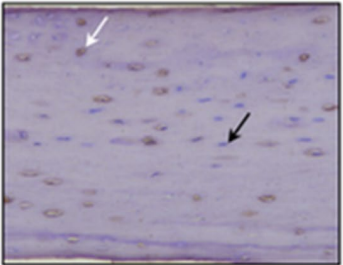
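Cortical bone with numerous osteocytes in oval lacunae embedded in pale lilac matrix. Many cells show brown staining within their lacunae, scattered evenly across the field; fewer show only a small blue nucleus. The cells are spindle to oval, aligned roughly parallel to the surfaces.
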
